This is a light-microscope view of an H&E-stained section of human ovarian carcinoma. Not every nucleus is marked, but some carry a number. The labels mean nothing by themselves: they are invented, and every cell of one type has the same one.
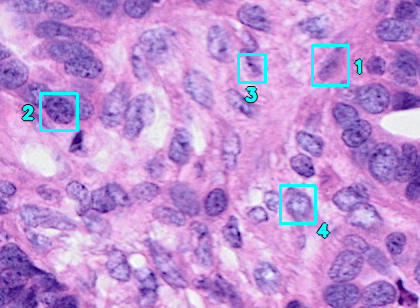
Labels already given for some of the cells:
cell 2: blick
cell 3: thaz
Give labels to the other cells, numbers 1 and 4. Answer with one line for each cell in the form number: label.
1: thaz
4: thaz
